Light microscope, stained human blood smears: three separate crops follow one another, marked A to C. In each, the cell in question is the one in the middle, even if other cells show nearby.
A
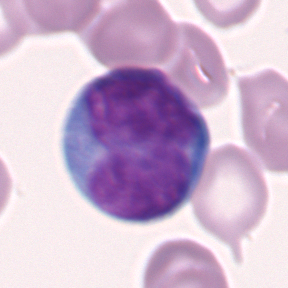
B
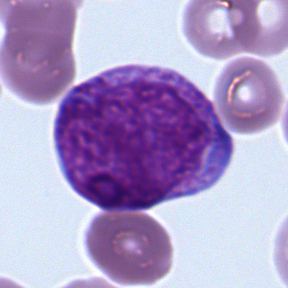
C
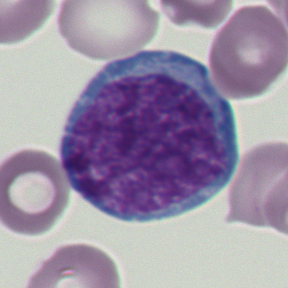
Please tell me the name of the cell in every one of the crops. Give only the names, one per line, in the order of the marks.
myeloblast
atypical promyelocyte
myeloblast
